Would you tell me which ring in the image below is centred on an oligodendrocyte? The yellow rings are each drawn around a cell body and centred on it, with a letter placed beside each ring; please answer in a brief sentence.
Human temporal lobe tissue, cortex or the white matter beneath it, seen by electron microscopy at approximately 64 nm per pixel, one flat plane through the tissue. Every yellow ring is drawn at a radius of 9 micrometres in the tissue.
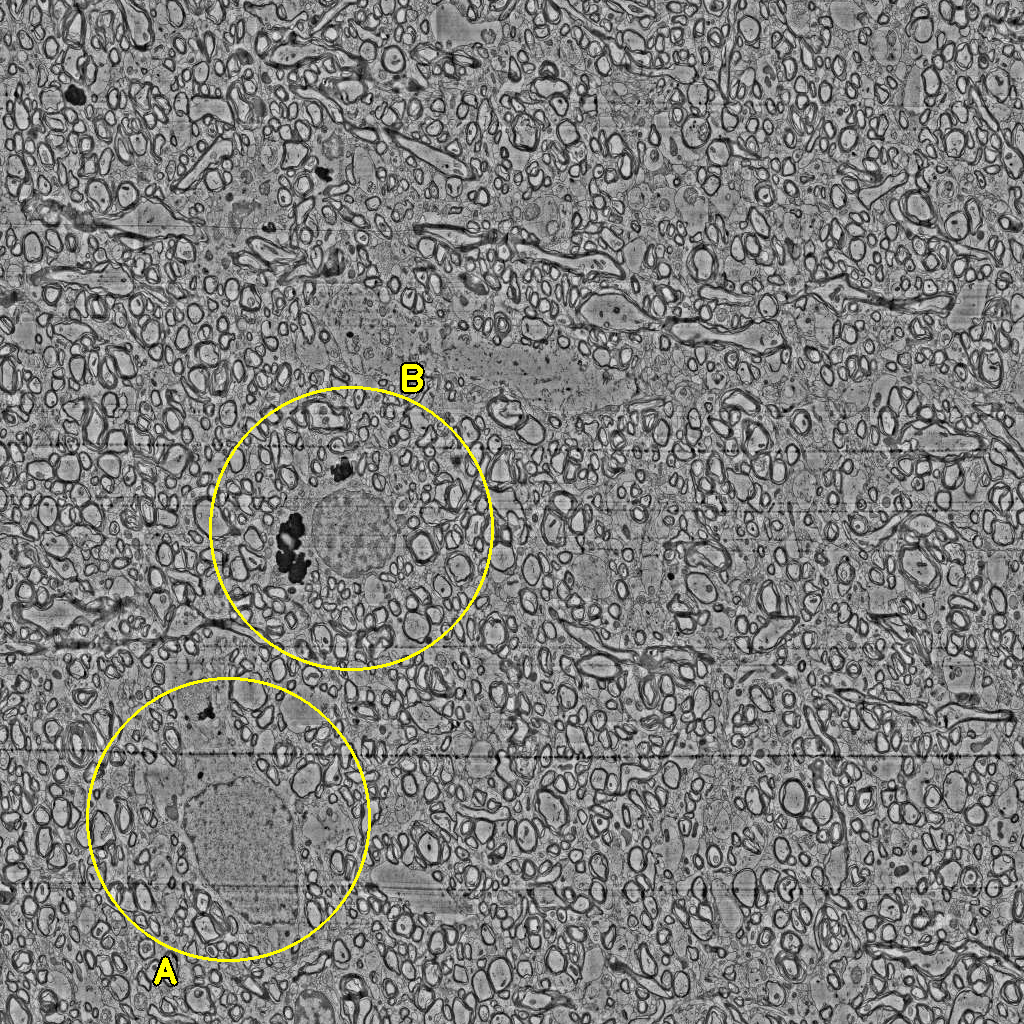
Ring B is centred on it.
